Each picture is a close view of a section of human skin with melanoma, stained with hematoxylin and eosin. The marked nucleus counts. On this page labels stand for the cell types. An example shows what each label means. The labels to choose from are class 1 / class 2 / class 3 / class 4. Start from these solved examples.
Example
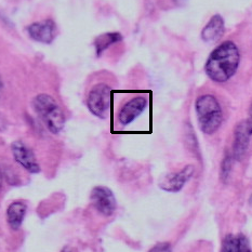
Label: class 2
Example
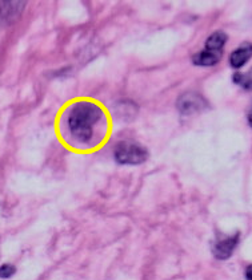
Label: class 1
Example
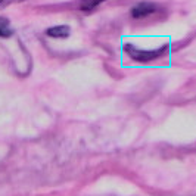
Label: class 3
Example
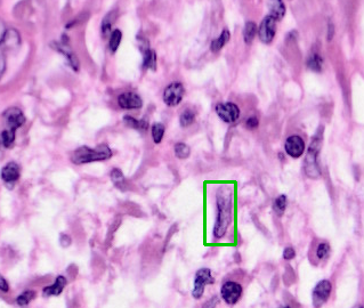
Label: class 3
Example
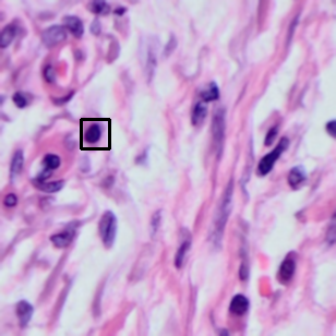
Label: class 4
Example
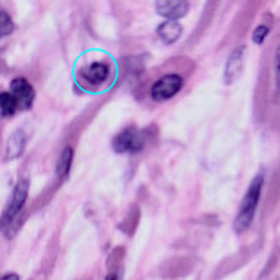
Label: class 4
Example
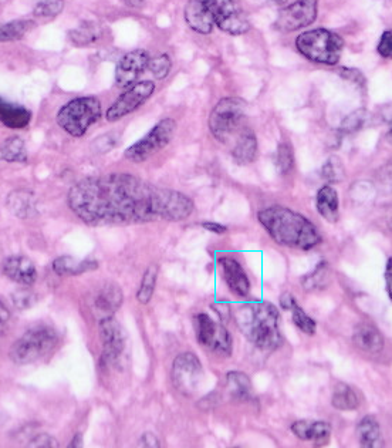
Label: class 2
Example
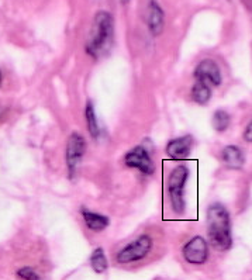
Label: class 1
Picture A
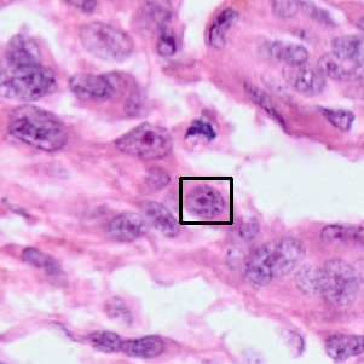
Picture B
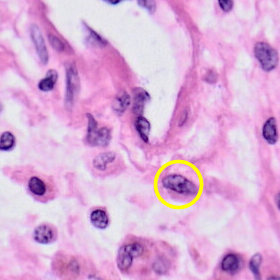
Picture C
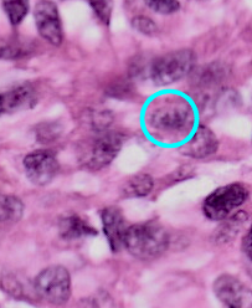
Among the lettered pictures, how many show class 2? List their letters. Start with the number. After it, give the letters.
2, namely A, C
